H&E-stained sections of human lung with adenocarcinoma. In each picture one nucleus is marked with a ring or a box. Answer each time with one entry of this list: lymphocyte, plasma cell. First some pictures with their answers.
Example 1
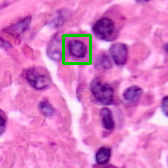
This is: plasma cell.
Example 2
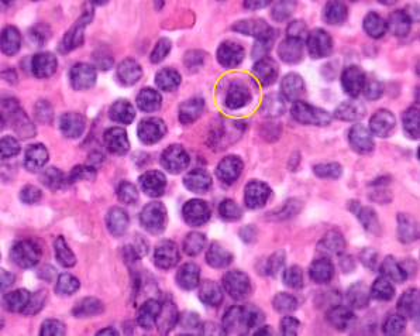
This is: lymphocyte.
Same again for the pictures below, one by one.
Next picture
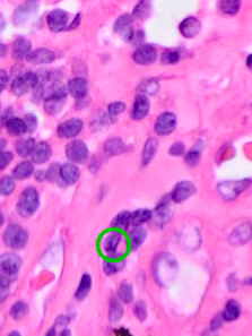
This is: lymphocyte.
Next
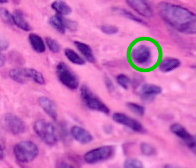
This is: lymphocyte.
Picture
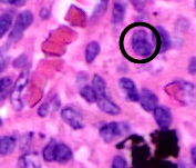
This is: lymphocyte.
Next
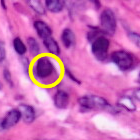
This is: plasma cell.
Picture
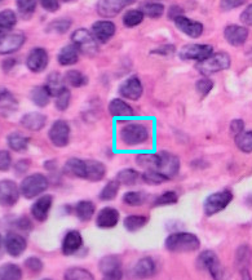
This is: lymphocyte.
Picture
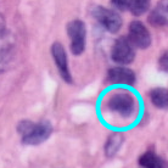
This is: lymphocyte.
